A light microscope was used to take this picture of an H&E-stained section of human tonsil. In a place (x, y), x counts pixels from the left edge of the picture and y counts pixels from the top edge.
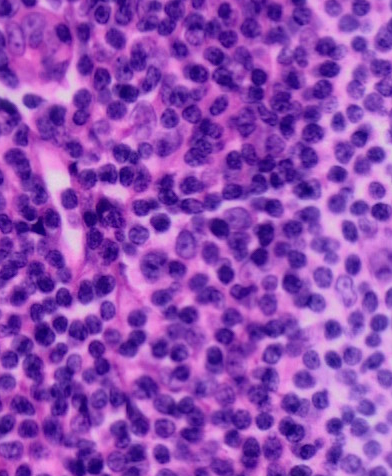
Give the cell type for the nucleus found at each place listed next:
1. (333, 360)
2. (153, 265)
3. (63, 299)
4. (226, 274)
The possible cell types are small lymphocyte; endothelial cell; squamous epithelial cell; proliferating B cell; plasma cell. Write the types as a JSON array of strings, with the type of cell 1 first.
["small lymphocyte", "proliferating B cell", "small lymphocyte", "small lymphocyte"]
